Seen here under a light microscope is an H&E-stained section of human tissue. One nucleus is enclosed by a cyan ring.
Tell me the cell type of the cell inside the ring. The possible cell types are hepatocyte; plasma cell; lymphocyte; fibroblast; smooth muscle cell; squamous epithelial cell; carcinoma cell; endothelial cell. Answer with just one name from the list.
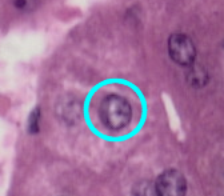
hepatocyte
